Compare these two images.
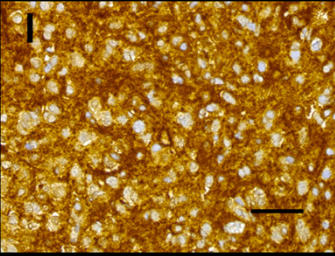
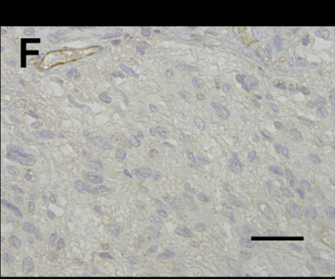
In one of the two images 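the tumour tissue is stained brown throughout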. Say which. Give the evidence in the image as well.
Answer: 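First image: intense brown stain fills the whole field around pale cells. Second image: the tissue is pale with blue nuclei and brown only along a small vessel at the top edge.
Conclusion: the first image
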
